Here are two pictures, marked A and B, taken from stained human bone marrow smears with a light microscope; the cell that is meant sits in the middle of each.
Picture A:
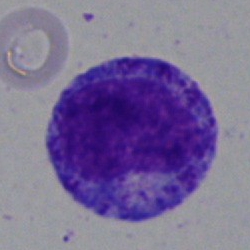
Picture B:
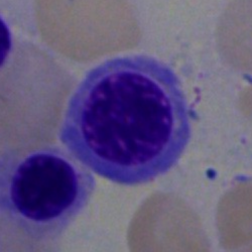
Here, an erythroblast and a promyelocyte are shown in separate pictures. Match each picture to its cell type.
A: promyelocyte
B: erythroblast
